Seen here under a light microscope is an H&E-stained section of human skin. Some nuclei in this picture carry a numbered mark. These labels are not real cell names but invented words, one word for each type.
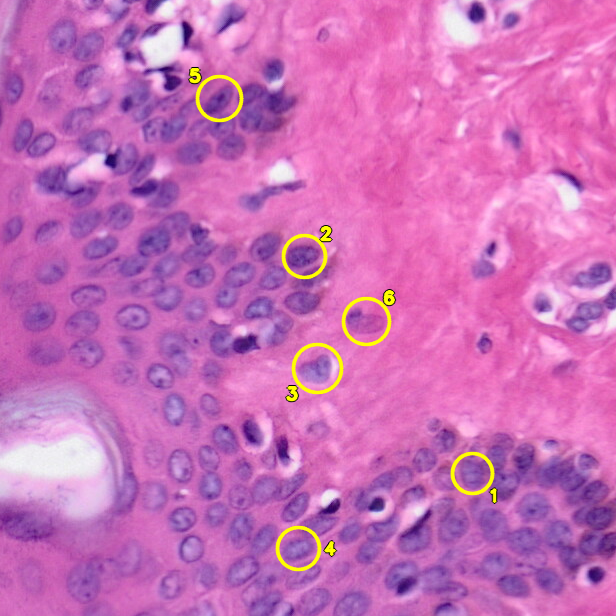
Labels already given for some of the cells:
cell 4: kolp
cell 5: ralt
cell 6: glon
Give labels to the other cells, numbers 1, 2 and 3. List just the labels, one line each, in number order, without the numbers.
ralt
ralt
glon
